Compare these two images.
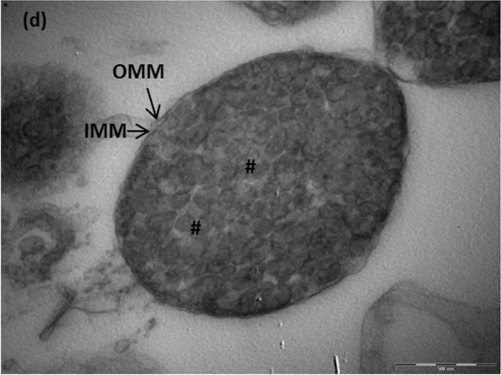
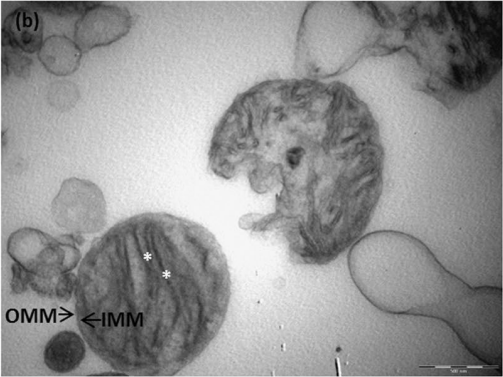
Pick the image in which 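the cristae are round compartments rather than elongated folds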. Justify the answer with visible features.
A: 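First image: the organelle interior is packed with small round compartments. Second image: the organelle interior shows elongated, parallel membrane folds. On this evidence: the first image.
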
